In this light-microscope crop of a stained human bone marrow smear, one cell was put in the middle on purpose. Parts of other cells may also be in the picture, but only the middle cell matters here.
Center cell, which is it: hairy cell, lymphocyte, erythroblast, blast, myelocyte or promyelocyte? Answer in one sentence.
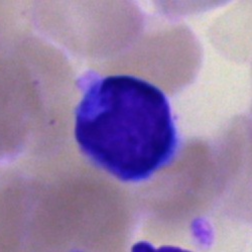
In the centre of this crop there is a lymphocyte.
